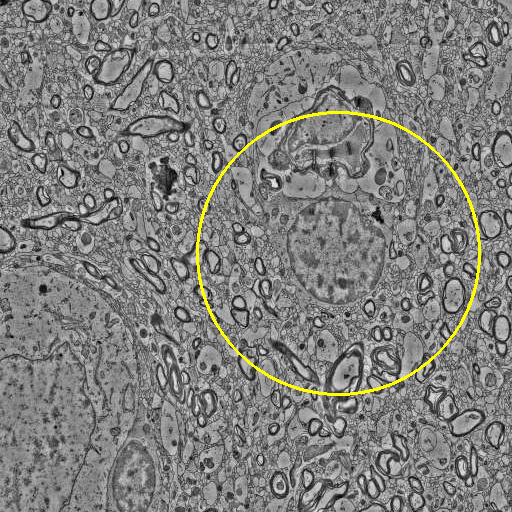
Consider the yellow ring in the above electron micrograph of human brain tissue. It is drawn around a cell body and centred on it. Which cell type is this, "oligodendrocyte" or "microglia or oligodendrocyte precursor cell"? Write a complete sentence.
The cell in question is an oligodendrocyte.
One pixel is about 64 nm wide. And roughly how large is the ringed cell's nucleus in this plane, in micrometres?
The nucleus of the ringed cell is approximately 7 micrometres across in this plane.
